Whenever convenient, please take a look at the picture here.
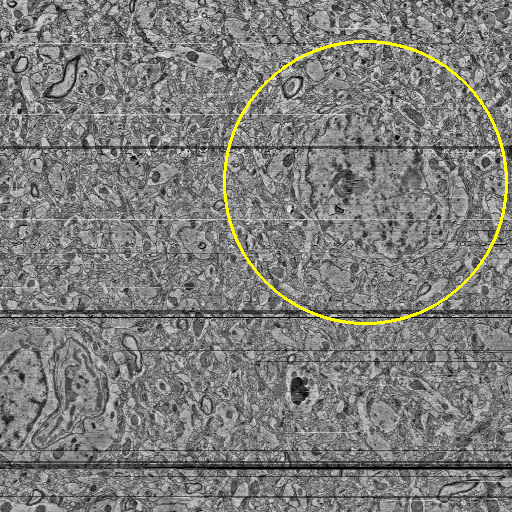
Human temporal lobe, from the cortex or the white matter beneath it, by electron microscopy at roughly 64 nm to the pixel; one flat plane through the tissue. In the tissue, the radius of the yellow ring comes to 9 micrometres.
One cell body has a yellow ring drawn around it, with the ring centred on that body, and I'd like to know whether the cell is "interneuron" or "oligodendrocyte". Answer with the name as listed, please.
interneuron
